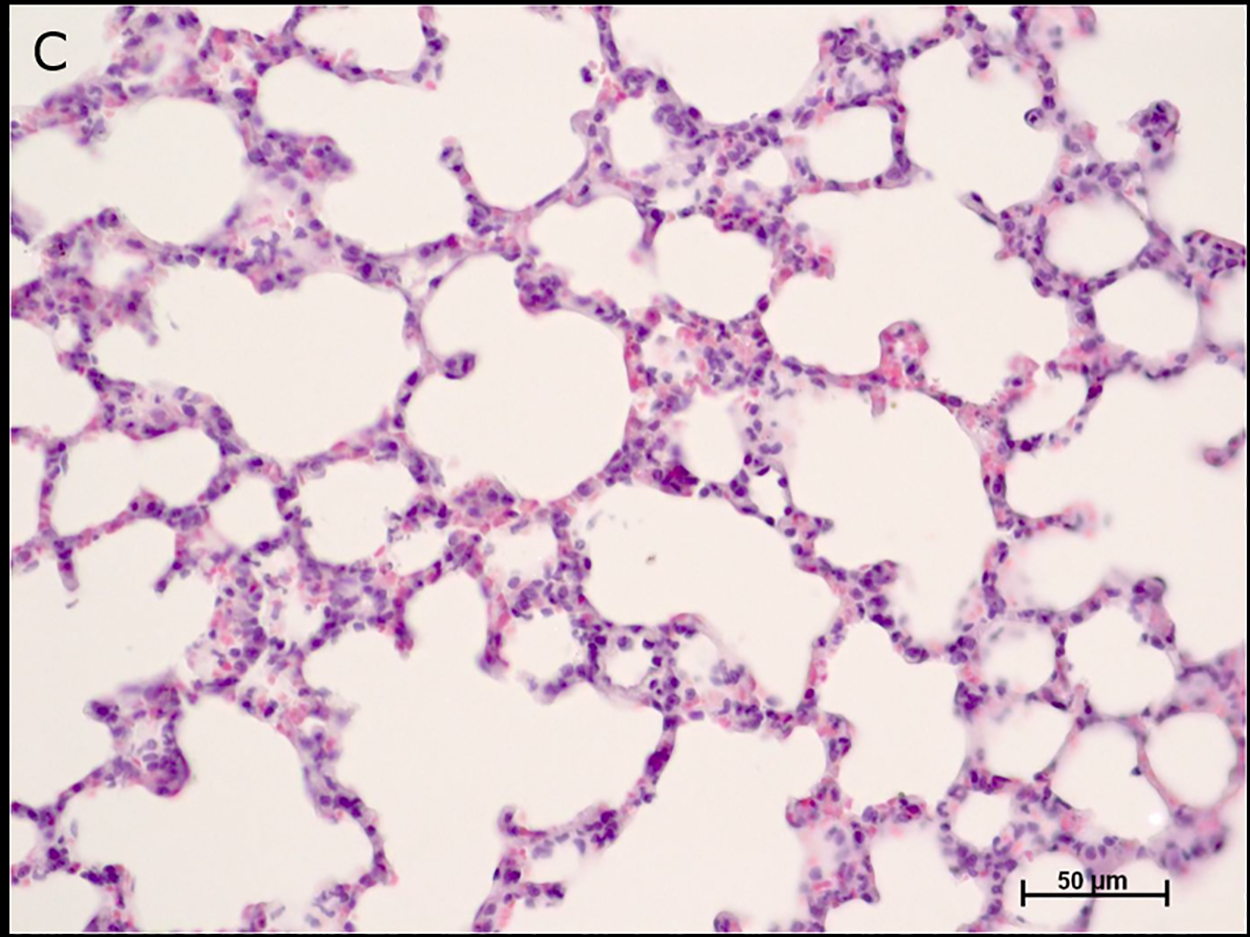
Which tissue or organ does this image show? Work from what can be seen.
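Many clear, empty air spaces of varied size fill most of the field. The spaces are separated by thin, branching walls with purple nuclei. Small pink-red cells lie within the thin walls.
Hence: pulmonary parenchyma.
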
